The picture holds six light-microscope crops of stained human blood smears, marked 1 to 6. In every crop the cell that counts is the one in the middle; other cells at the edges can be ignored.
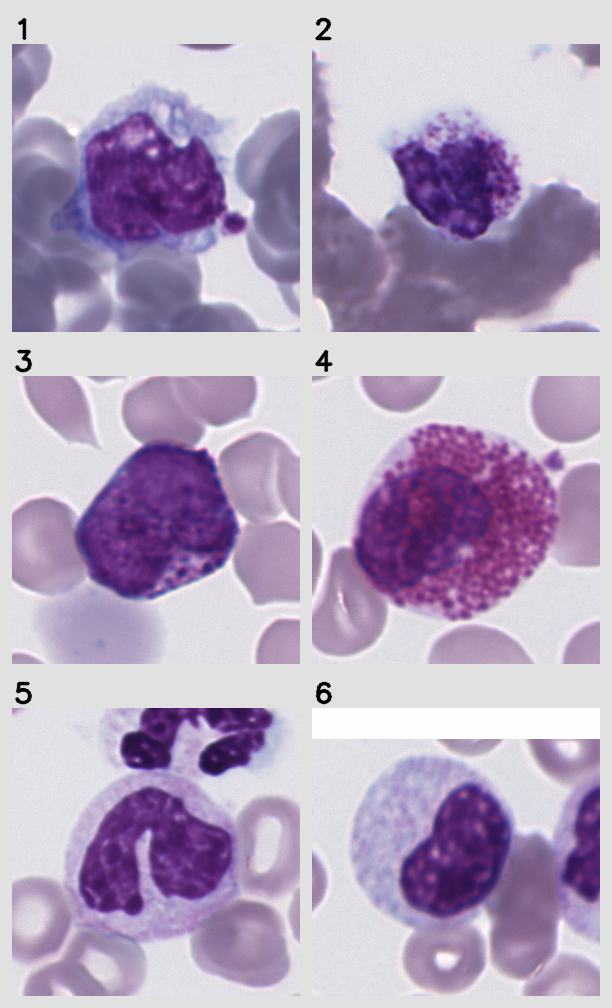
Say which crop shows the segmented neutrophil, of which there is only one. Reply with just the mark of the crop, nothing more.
2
